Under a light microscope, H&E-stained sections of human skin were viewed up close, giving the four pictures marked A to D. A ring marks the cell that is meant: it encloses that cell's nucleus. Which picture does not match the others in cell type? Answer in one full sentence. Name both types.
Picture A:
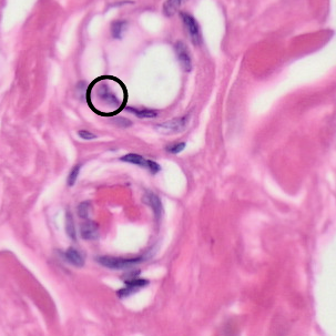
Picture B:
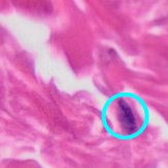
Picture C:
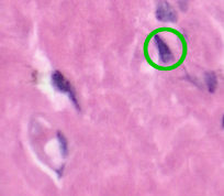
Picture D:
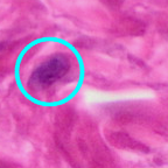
Unlike the rest, which show fibroblasts, picture A shows an endothelial cell.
